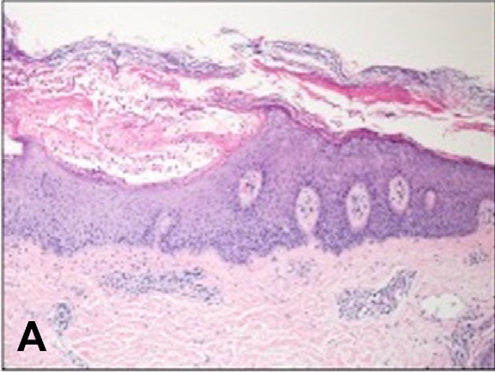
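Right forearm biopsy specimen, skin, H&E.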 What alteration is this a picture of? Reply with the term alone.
Subcorneal pustule.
